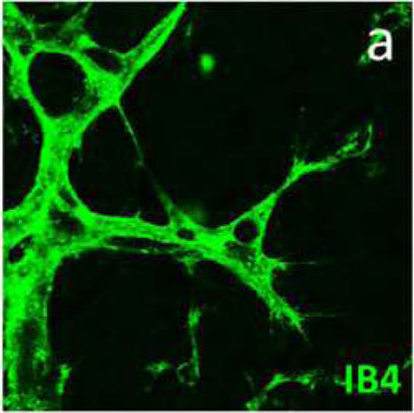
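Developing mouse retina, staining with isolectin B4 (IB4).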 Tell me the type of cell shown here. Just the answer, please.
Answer: Tip cells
